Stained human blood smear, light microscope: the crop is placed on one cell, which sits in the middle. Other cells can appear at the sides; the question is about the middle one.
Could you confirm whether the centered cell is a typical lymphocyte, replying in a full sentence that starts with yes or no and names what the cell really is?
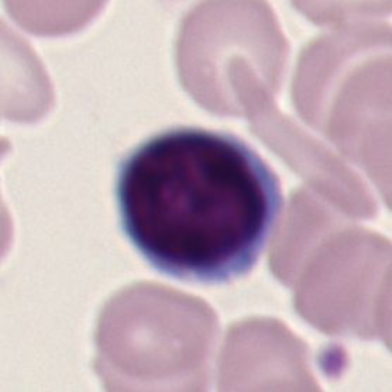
Yes, the cell that the crop is centred on is a typical lymphocyte.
